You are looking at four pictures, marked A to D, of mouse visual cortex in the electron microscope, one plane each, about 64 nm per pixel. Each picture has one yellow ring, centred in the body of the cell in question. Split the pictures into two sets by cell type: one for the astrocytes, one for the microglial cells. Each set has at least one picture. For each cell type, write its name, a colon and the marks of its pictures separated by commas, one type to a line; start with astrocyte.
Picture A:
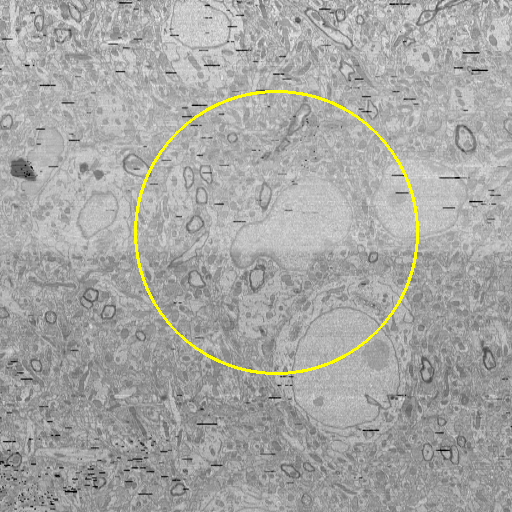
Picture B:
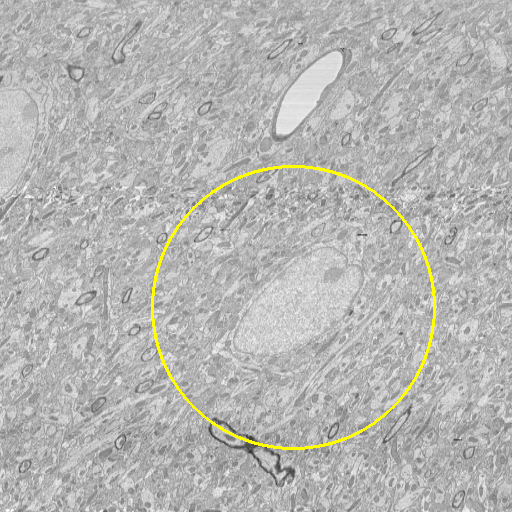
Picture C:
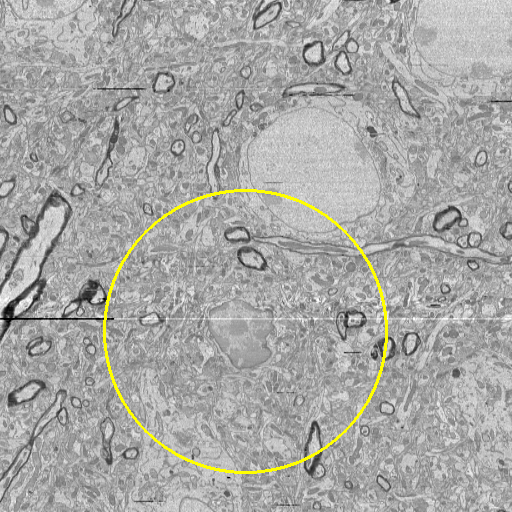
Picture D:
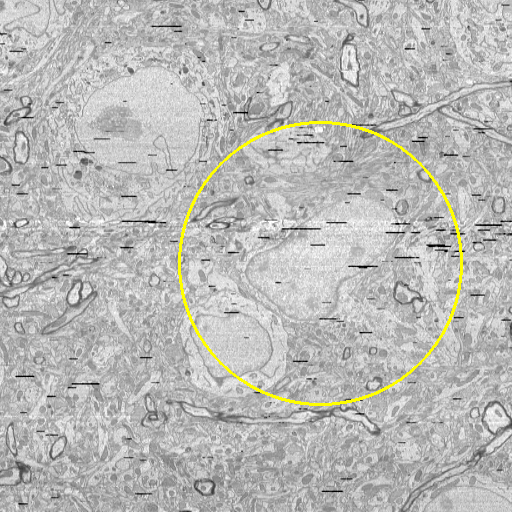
astrocyte: A, B, D
microglial cell: C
